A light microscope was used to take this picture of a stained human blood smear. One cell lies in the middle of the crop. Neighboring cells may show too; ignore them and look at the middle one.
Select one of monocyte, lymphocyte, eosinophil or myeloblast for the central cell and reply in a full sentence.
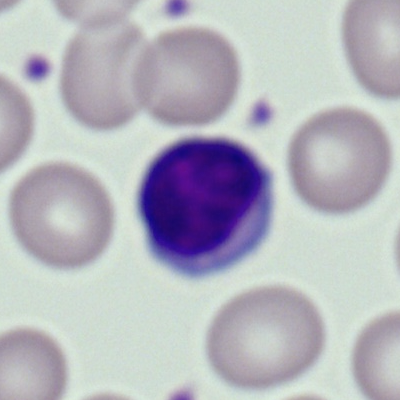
Here the cell in the middle is a lymphocyte.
